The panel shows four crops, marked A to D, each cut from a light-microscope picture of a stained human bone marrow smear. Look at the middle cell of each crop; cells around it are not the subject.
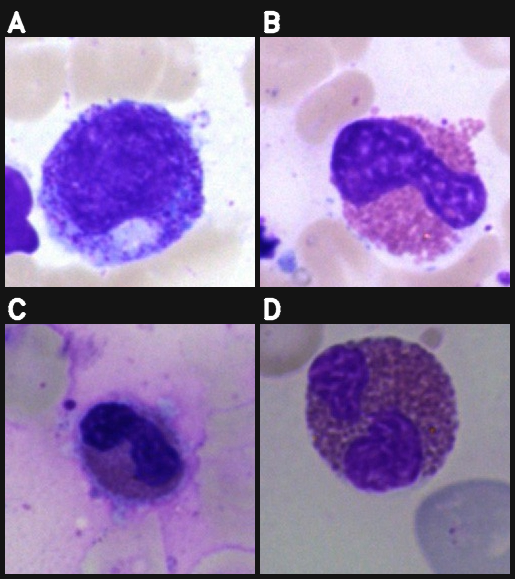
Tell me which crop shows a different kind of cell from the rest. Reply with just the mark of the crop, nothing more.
A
